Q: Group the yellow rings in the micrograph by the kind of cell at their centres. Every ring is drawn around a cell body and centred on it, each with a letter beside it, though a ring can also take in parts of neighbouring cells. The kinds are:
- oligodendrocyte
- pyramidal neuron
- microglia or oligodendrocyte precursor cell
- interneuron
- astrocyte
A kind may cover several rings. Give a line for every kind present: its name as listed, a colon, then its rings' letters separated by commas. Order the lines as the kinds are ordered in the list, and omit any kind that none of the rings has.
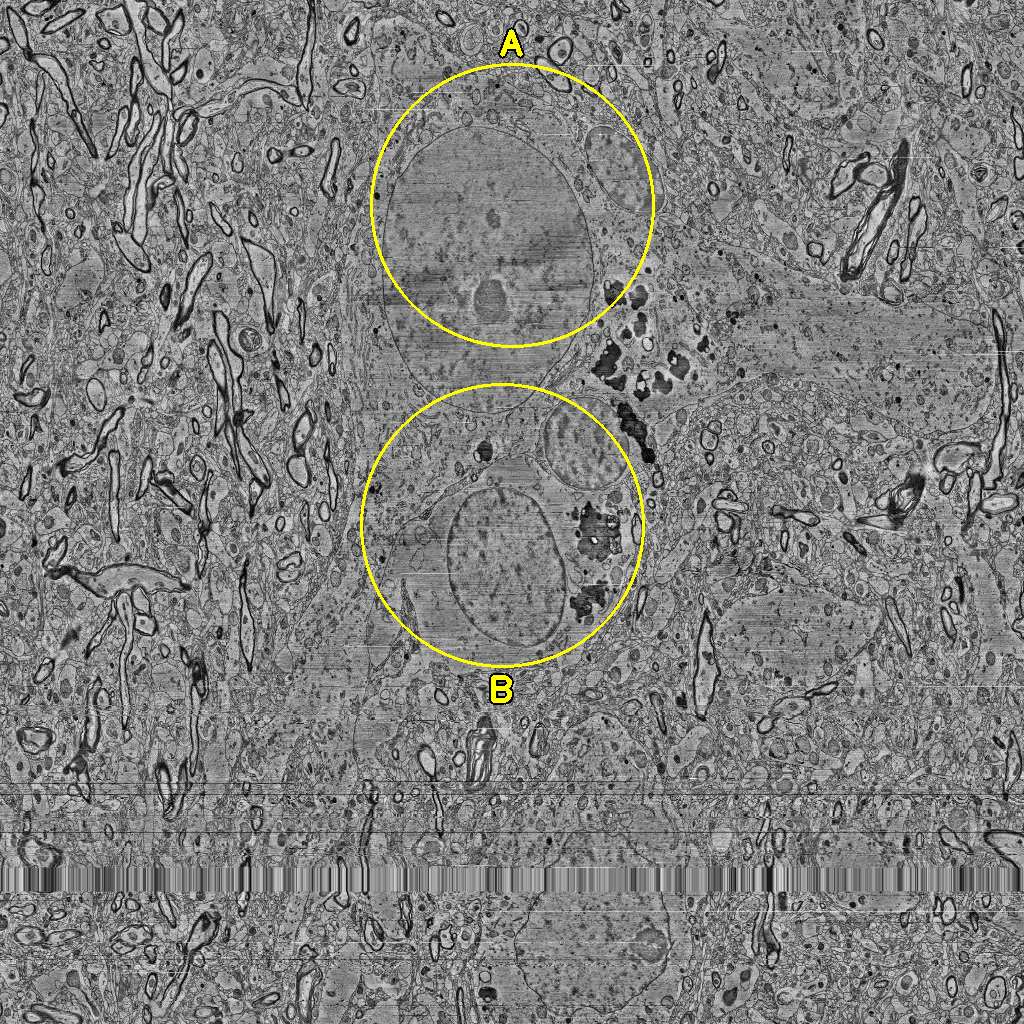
pyramidal neuron: A
astrocyte: B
